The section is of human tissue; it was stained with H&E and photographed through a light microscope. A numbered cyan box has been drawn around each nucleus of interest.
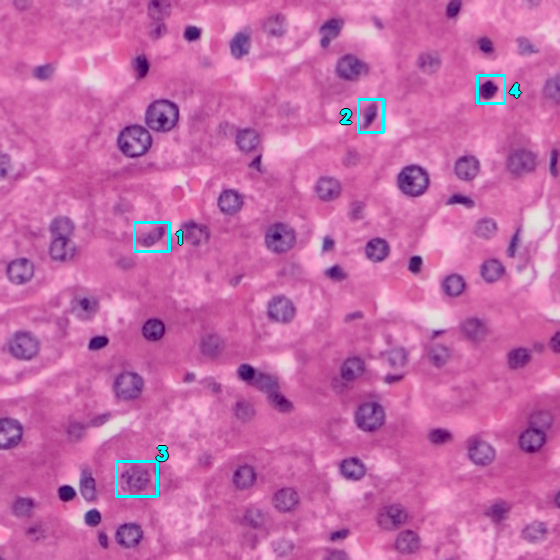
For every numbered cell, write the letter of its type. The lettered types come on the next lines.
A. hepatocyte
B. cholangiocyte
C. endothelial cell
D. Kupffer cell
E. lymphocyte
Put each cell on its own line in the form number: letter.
1: D
2: C
3: A
4: E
